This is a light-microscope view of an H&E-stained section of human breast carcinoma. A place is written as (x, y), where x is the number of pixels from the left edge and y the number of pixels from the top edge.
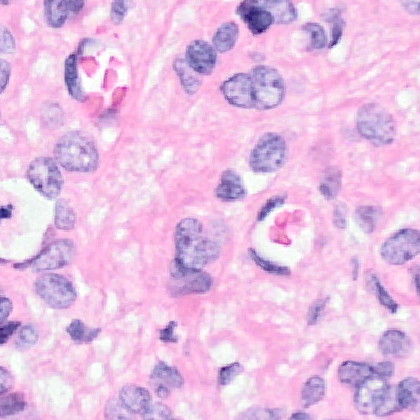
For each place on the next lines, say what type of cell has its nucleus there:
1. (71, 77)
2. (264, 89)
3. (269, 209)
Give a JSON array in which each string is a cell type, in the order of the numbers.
["endothelial cell", "carcinoma cell", "endothelial cell"]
